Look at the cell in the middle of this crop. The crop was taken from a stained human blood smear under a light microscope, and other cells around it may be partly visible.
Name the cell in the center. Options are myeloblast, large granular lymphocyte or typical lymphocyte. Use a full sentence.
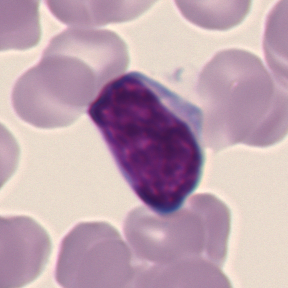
The cell at the central position in this crop is a typical lymphocyte.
